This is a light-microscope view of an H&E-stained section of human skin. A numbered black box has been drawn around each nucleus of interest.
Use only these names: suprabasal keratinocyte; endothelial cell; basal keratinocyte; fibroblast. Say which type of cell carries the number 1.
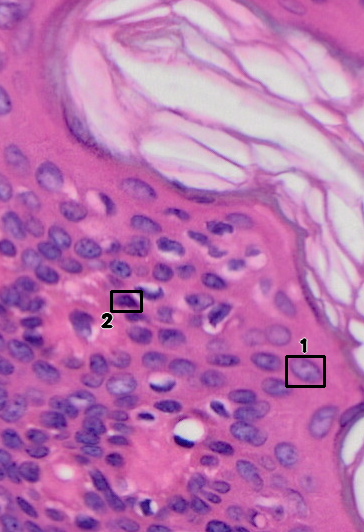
suprabasal keratinocyte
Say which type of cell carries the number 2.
basal keratinocyte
